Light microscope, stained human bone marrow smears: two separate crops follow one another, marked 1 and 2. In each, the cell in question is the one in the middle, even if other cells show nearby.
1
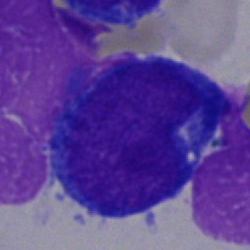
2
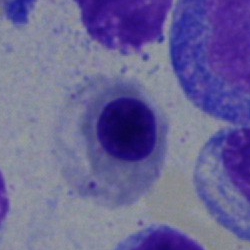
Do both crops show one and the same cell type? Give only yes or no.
no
